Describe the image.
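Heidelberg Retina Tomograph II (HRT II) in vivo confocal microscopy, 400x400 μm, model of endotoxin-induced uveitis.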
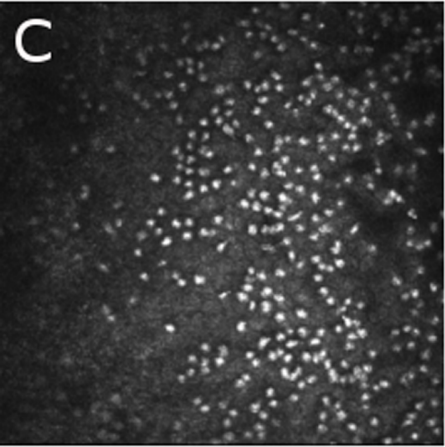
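Inflammatory cells lie accumulated on the corneal endothelium, seen en face. The background between them is grey and faintly textured, the cells sitting on the surface of the endothelial layer rather than forming a layer of their own.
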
